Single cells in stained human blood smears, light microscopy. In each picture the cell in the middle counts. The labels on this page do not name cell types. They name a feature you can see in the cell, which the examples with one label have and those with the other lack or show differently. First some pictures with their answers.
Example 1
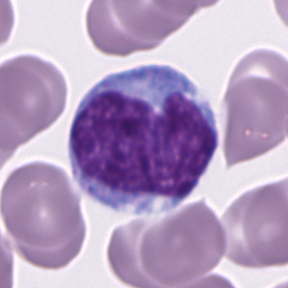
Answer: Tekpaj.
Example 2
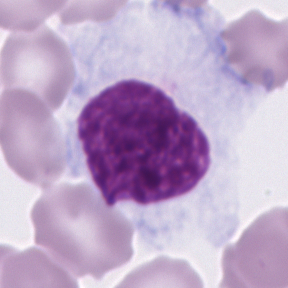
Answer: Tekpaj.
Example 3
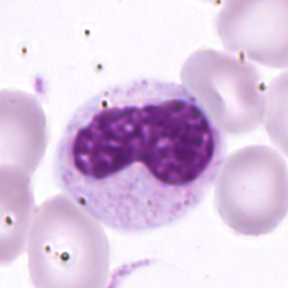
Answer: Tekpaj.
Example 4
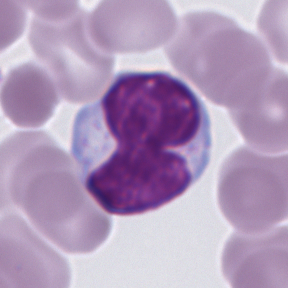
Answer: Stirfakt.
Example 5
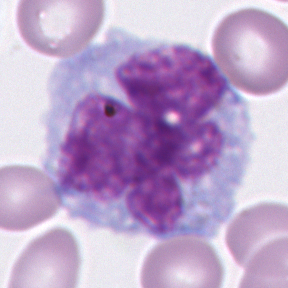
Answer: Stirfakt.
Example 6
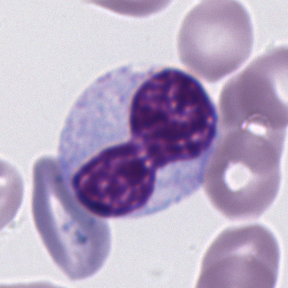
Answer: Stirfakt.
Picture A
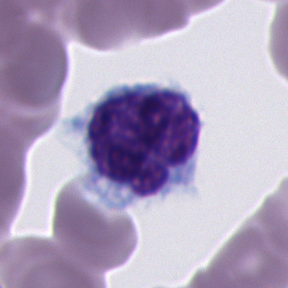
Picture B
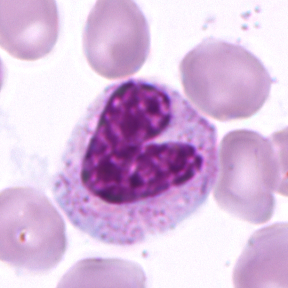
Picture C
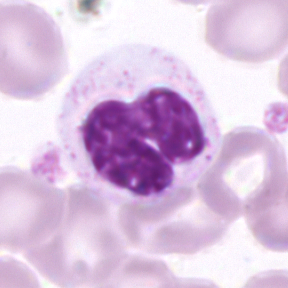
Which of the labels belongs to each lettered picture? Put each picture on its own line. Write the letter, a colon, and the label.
A: Stirfakt.
B: Stirfakt.
C: Stirfakt.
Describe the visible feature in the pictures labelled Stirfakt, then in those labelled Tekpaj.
Seen in Stirfakt: lobed nucleus; seen in Tekpaj: single compact nucleus.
